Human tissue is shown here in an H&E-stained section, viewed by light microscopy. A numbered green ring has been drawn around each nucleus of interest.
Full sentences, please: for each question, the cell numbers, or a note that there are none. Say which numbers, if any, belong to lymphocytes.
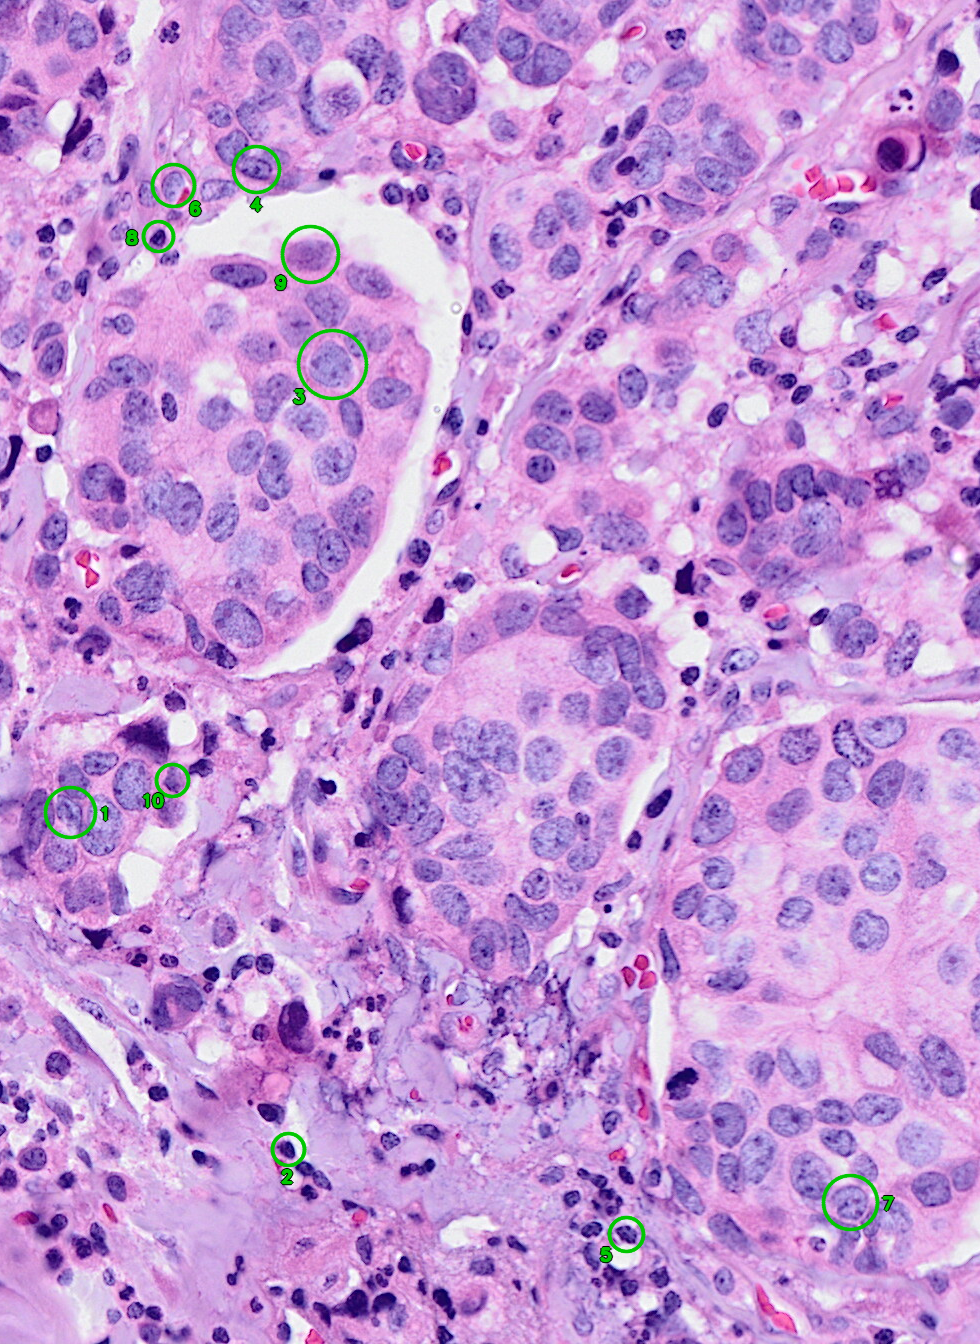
In short, the numbered cells 2, 5 and 8 are lymphocytes.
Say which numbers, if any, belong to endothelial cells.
Where the numbered cells are concerned, only number 6 is an endothelial cell.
